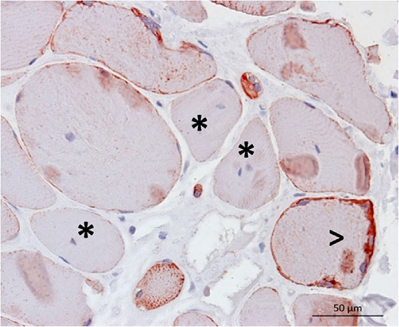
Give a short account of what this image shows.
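Cross-sectioned skeletal muscle fibers of very unequal size and rounded shape lie separated by widened pale connective tissue, with scattered blue nuclei in between. The brown staining is uneven: some fibers are almost entirely pale with no striated pattern, others carry irregular brown clumps within their interior, and a few show a thick brown band concentrated along their periphery. A regular fine cross-striated network is not seen.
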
